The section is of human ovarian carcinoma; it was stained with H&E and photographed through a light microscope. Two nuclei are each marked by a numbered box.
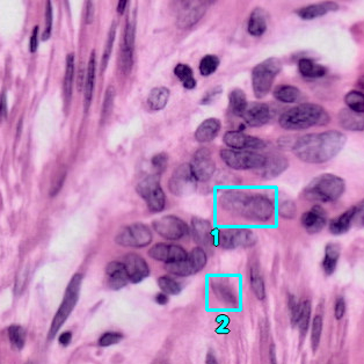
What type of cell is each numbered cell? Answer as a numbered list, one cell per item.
1. endothelial cell
2. fibroblast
